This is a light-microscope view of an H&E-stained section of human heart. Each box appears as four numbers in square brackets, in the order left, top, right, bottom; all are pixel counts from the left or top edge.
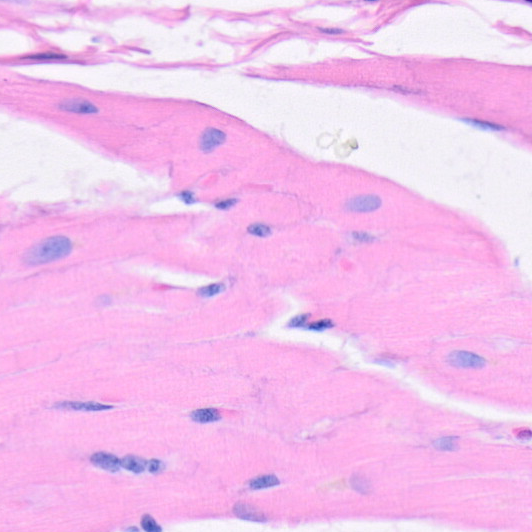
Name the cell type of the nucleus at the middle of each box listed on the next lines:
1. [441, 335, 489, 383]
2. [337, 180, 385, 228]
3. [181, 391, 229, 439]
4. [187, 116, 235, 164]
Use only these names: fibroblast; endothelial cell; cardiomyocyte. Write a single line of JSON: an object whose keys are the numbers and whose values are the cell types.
{"1": "cardiomyocyte", "2": "cardiomyocyte", "3": "endothelial cell", "4": "cardiomyocyte"}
